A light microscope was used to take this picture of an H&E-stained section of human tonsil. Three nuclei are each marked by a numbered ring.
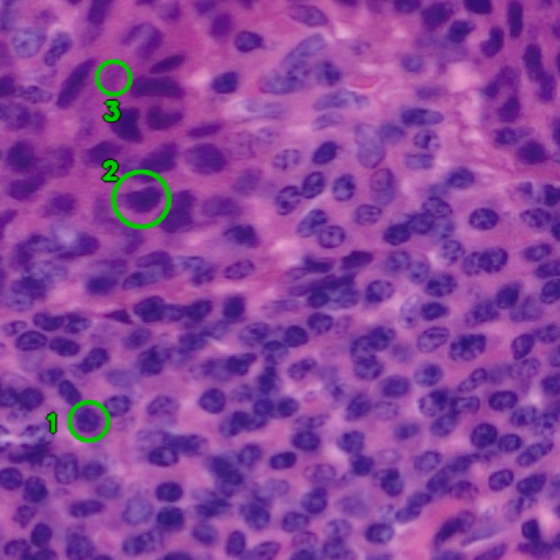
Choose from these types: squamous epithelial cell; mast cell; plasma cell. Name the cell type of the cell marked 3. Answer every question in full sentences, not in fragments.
Cell number 3 in this section is a squamous epithelial cell.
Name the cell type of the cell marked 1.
The cell identified by the number 1 is a plasma cell.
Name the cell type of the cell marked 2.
Here the cell numbered 2 is a squamous epithelial cell.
